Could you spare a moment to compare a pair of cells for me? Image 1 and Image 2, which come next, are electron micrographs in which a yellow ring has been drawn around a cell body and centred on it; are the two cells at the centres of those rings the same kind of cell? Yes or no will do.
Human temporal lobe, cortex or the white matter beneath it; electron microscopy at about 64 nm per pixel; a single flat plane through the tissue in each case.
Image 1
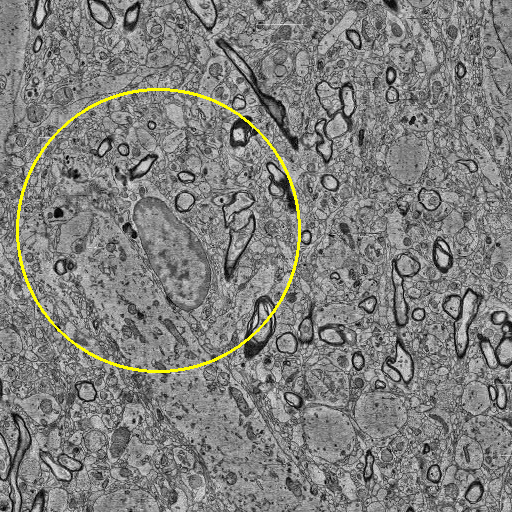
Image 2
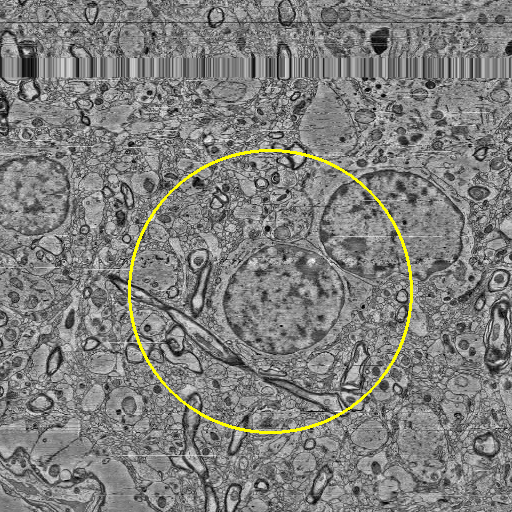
yes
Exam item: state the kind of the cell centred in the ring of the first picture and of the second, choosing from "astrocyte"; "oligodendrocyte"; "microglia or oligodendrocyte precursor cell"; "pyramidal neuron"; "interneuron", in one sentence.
The cell at the ring centre is a microglial cell or oligodendrocyte precursor cell in both pictures.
